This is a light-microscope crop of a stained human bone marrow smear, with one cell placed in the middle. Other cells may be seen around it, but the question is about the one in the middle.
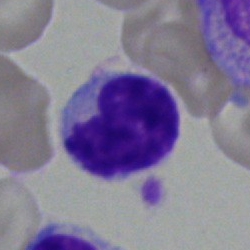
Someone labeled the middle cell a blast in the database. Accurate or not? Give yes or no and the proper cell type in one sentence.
No, in this crop the central cell is a lymphocyte instead of a blast.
